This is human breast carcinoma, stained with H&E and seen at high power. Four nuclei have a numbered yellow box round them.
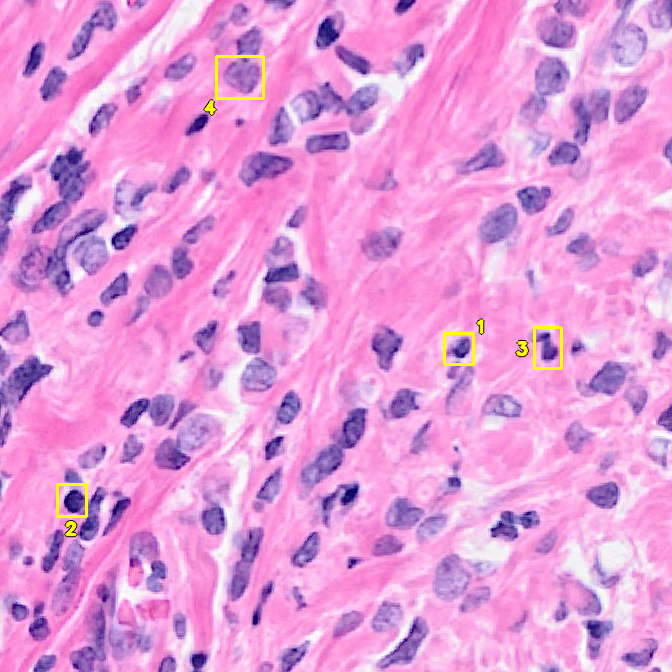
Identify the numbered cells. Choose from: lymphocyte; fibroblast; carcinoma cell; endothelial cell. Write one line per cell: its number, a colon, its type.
1: lymphocyte
2: lymphocyte
3: lymphocyte
4: carcinoma cell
